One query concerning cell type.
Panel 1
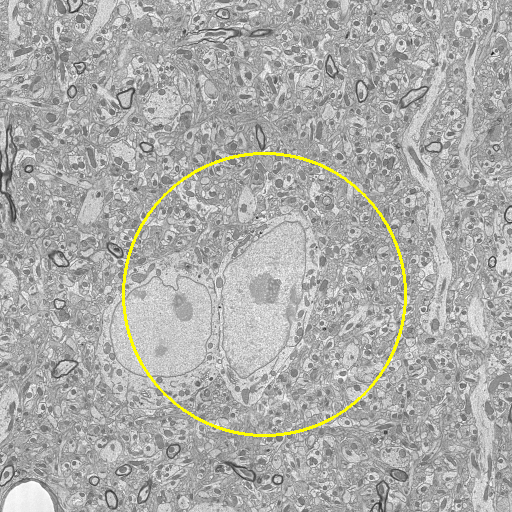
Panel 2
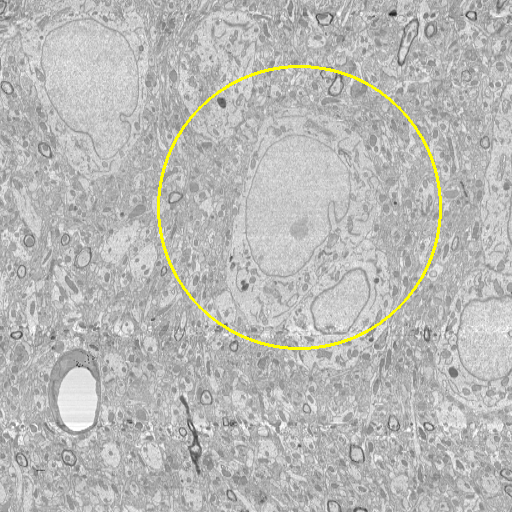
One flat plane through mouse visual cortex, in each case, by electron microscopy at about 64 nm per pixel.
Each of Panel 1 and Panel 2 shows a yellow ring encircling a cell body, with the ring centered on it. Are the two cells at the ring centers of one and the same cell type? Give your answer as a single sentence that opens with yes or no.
No, the cell centered in Panel 1 and the one in Panel 2 are of two types.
